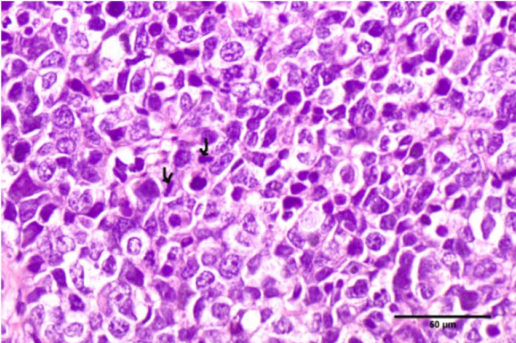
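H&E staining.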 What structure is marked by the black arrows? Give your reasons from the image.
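Crowded large cells with vesicular nuclei and visible nucleoli. Arrowed cells show dark condensed nuclear material. So: mitotic figure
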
